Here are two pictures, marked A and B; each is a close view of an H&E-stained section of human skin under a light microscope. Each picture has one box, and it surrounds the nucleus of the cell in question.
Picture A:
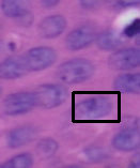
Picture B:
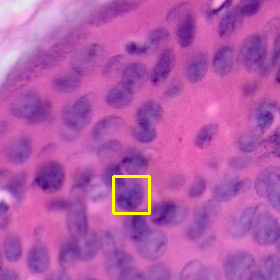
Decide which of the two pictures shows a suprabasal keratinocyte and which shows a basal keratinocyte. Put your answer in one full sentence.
It is picture A that shows a suprabasal keratinocyte, and picture B that shows a basal keratinocyte.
